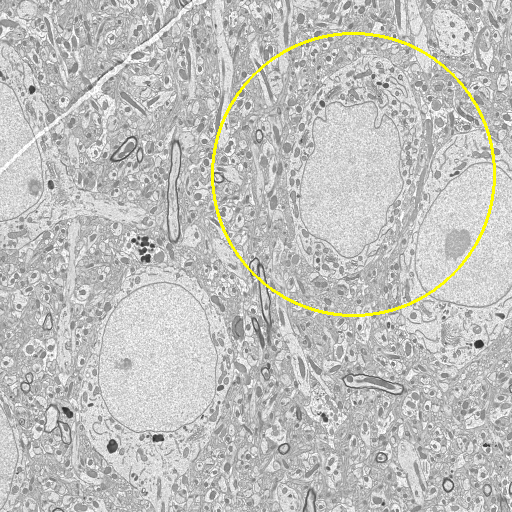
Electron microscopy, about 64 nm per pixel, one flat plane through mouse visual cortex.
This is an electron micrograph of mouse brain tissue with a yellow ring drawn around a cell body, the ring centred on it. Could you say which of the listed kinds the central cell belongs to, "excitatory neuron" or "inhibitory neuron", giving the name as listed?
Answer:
inhibitory neuron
